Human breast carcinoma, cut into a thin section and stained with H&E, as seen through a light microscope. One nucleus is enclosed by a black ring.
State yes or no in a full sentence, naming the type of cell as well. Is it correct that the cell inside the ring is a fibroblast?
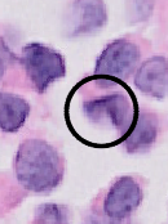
No, it is a carcinoma cell that the cell inside the ring is, rather than a fibroblast.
